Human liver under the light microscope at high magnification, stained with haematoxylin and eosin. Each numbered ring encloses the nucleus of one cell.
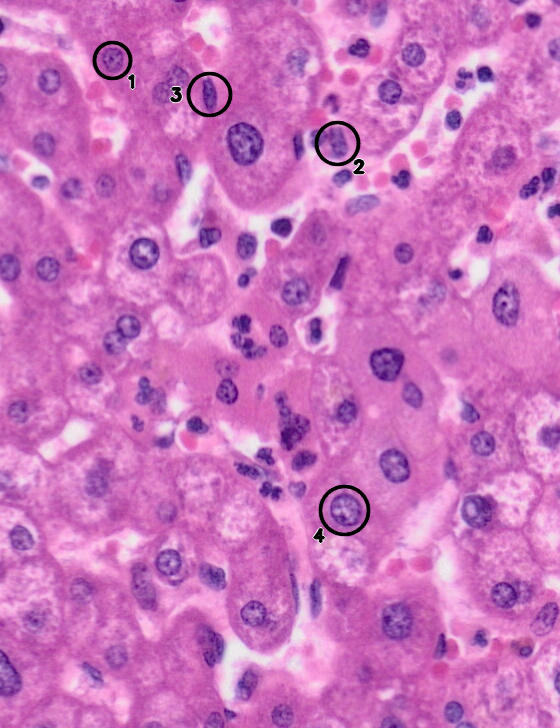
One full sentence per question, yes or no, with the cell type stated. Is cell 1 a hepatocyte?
Yes, the cell denoted by 1 is a hepatocyte.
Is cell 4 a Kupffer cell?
No, a Kupffer cell is not what cell 4 is; it is a hepatocyte.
